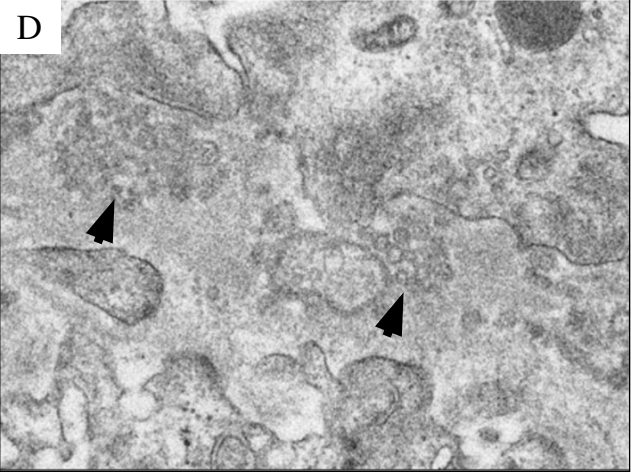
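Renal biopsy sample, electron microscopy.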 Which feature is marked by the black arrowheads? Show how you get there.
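Microspheres. Arrowheads point to small rounded granular particles within the grey basement membrane matrix.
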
